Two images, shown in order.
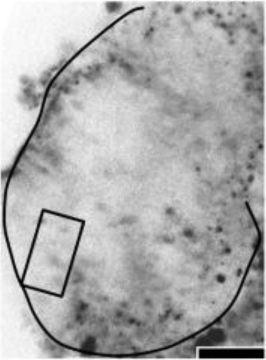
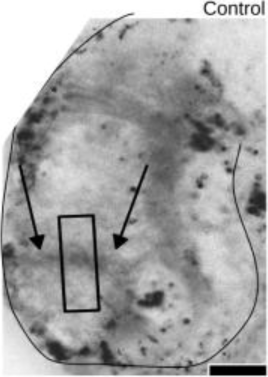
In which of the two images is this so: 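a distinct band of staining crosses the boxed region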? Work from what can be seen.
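First image: the boxed strip shows fairly even, mottled gray staining without a clear band. Second image: a darker band of staining runs across the boxed strip where the arrows point.
Answer: the second image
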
